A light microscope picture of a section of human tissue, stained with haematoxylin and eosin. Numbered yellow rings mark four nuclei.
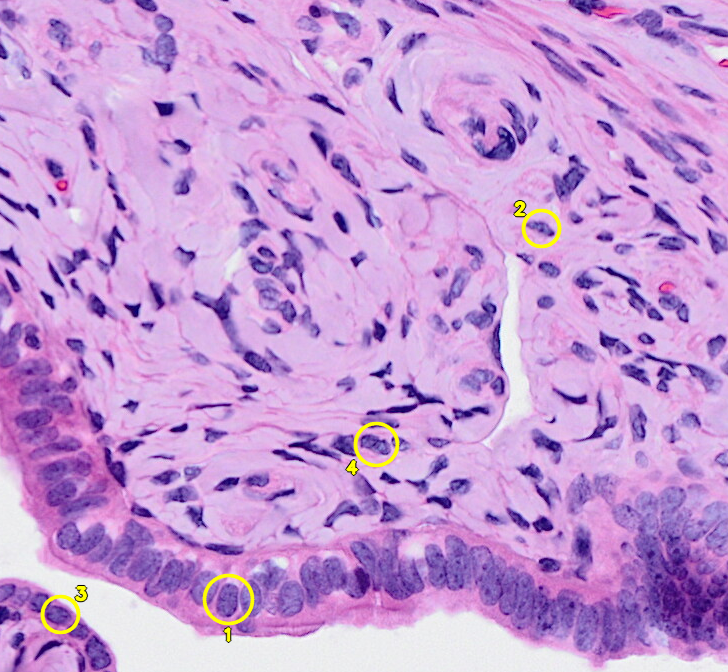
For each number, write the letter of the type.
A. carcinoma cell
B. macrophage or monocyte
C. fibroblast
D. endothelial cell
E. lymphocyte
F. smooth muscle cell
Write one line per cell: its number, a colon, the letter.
1: A
2: F
3: A
4: D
